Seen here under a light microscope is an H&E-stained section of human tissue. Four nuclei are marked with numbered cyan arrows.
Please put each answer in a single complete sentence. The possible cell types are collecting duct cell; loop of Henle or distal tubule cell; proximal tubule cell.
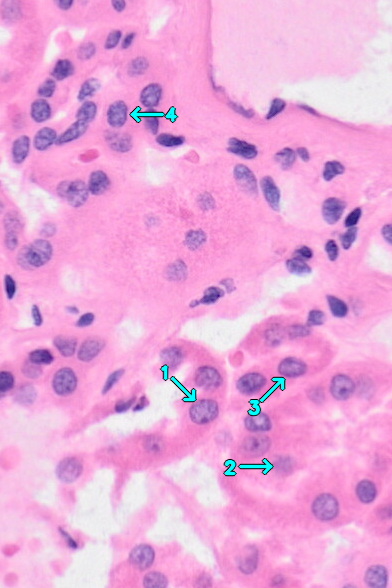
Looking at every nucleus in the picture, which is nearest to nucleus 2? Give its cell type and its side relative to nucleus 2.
Just above and to the left of nucleus 2 lies the nearest nucleus, which belongs to a proximal tubule cell.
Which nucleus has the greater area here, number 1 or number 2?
Number 1 is larger; its area is about 1.5 times that of number 2.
